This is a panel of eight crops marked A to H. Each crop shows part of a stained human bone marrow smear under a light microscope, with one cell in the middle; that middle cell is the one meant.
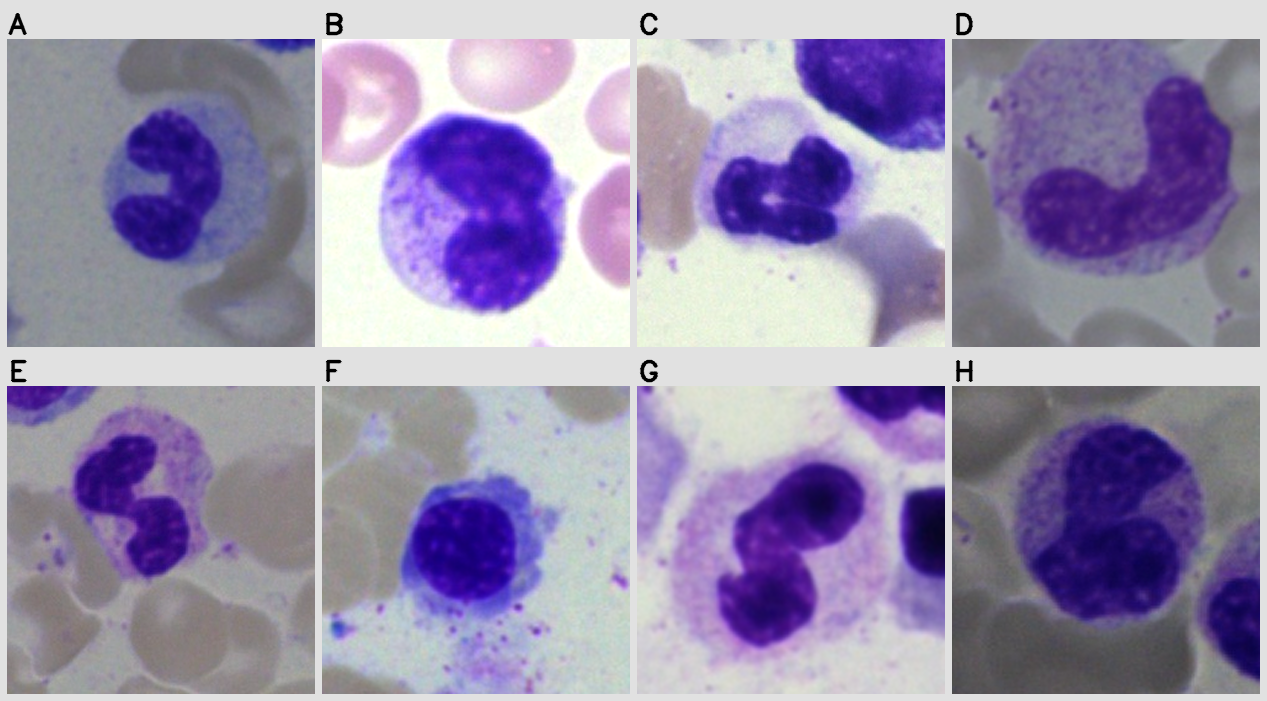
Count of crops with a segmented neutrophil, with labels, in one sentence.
It is in crops C and G that segmented neutrophils are shown, two crops in all.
